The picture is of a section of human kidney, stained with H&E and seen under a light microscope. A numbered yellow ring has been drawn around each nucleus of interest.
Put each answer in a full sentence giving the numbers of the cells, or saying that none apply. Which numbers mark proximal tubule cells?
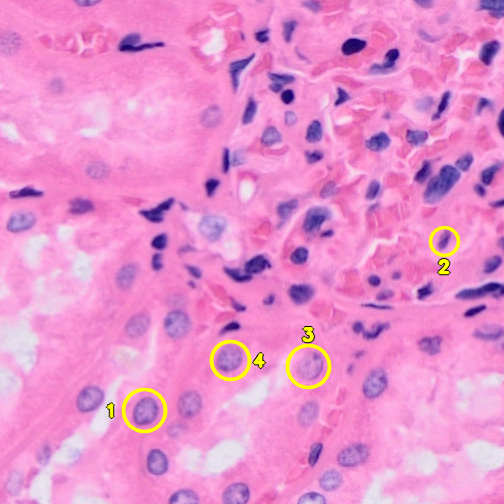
The cells whose numbers are 1, 3 and 4 are proximal tubule cells.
